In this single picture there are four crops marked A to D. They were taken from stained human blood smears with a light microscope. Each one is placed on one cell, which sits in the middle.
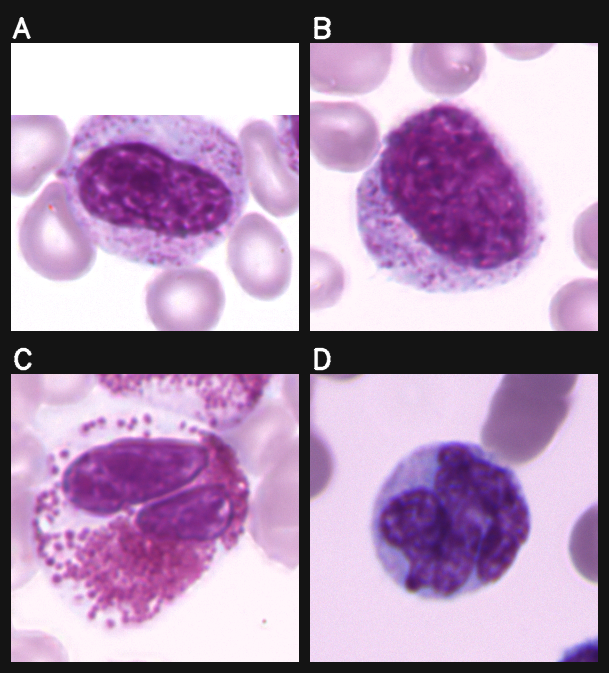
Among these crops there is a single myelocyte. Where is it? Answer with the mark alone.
B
